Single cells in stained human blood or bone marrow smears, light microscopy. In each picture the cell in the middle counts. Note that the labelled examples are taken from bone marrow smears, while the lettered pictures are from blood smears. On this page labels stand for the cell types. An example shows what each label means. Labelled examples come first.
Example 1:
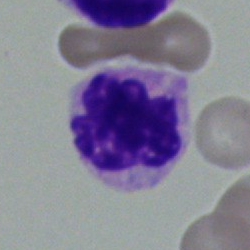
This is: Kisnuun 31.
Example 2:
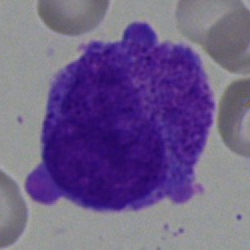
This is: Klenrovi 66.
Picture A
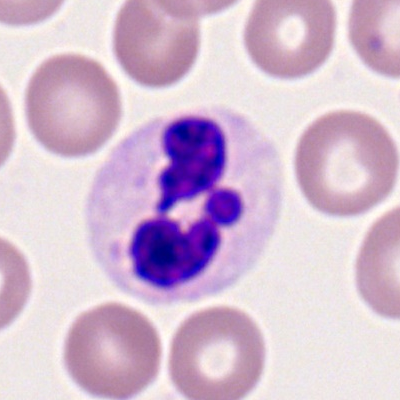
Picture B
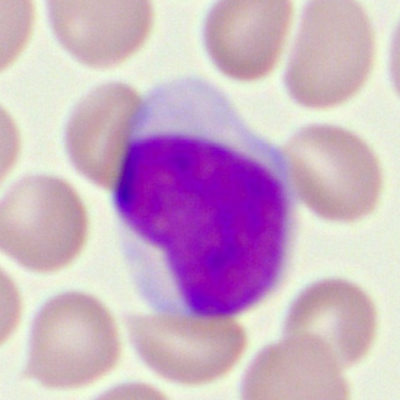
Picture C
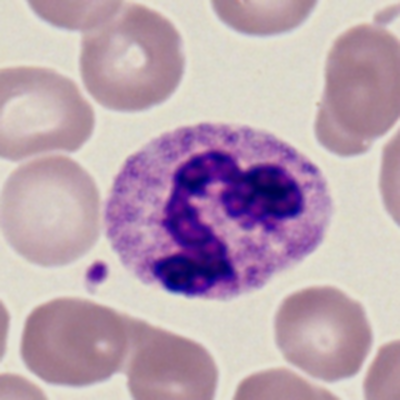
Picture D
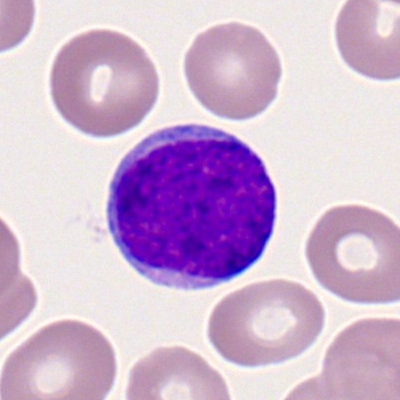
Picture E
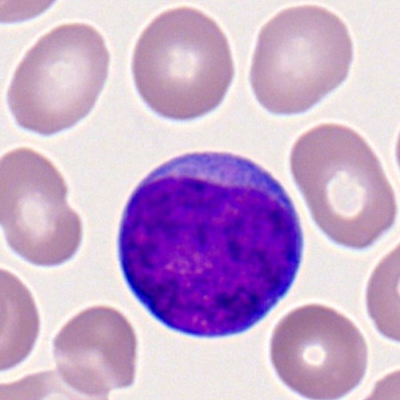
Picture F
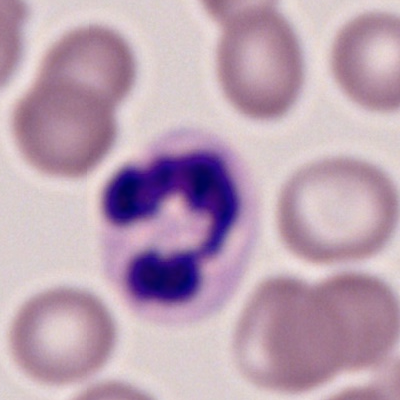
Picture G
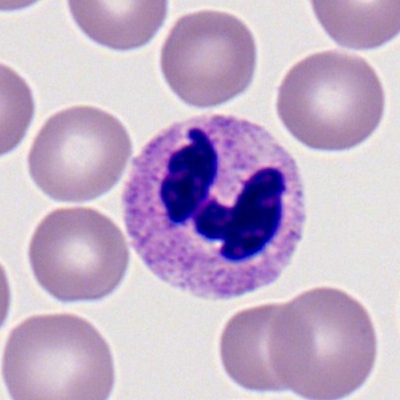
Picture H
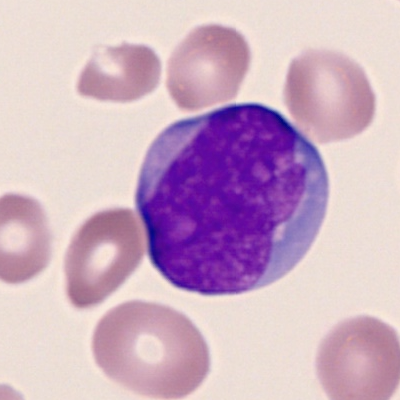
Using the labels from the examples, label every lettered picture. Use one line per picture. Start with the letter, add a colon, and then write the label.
A: Kisnuun 31.
B: Klenrovi 66.
C: Kisnuun 31.
D: Klenrovi 66.
E: Klenrovi 66.
F: Kisnuun 31.
G: Kisnuun 31.
H: Klenrovi 66.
